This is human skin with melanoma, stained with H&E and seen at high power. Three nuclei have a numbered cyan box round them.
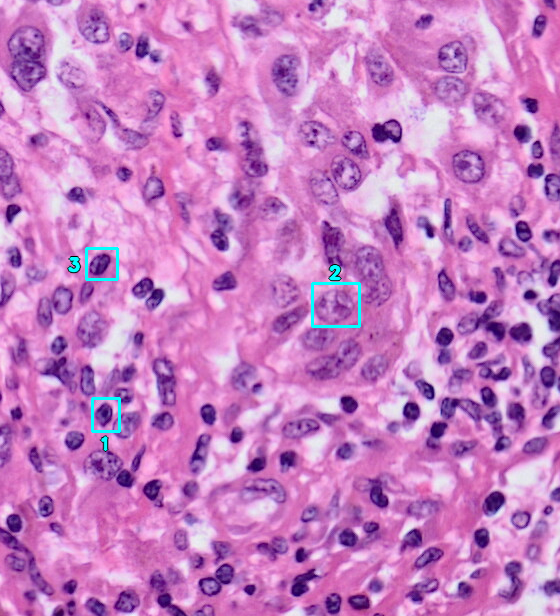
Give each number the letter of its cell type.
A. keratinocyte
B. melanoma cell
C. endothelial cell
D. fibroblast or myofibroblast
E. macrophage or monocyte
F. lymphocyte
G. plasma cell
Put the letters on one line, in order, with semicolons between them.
F; B; G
